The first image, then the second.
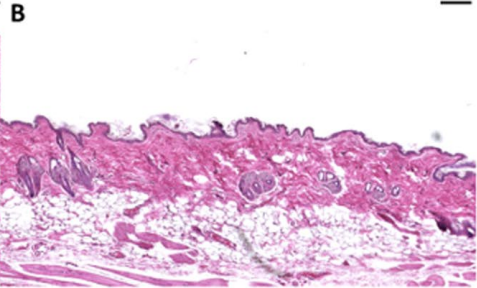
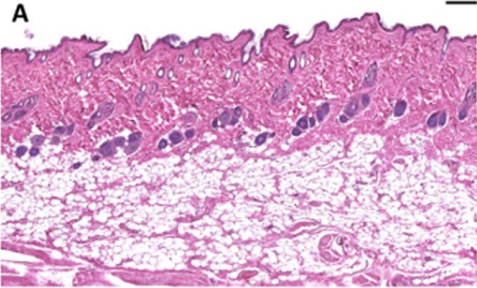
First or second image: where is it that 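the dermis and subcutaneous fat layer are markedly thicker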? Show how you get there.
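The second image. First image: the dermis is a thin band and the fatty layer beneath is narrow. Second image: the dermis is a broad band and a wide pale fatty layer lies beneath it.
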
